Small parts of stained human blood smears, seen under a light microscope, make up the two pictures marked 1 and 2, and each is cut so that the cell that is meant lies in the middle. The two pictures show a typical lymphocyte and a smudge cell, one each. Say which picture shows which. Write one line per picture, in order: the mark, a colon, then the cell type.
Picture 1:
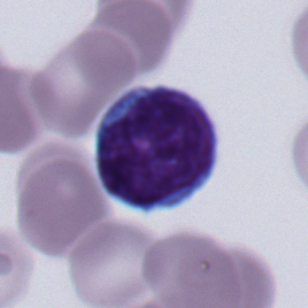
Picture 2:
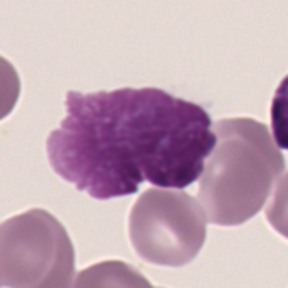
1: typical lymphocyte
2: smudge cell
